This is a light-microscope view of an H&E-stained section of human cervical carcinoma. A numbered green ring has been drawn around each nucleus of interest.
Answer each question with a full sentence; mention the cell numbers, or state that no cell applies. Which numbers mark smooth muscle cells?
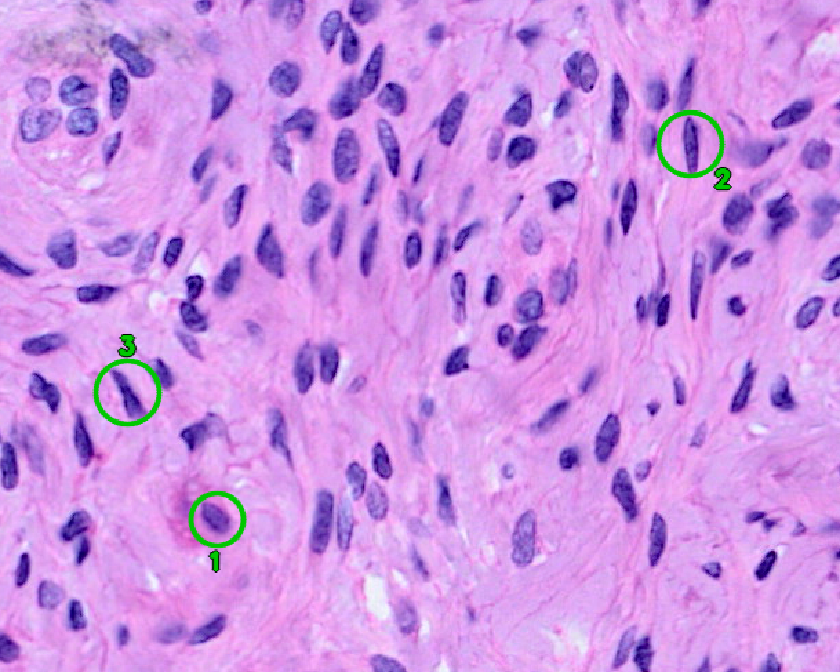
With the exception of cell 1, no marked cell is a smooth muscle cell.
